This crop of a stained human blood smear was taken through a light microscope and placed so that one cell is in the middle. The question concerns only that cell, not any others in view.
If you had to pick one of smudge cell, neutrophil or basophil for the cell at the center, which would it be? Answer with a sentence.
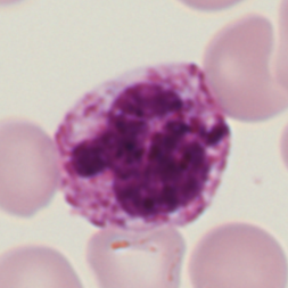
The central element of this crop is a cell, namely a basophil.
